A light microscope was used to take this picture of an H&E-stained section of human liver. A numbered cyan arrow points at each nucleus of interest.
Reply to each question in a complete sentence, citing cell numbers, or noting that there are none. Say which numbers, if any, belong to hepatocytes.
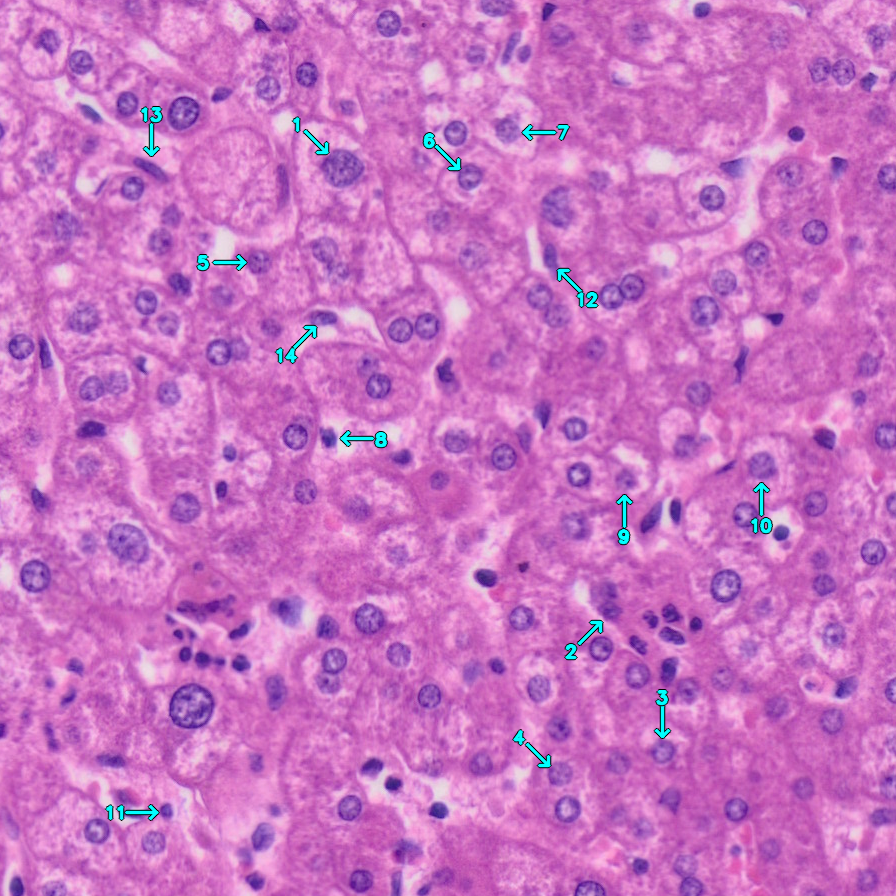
The cells with the numbers 1, 3, 4, 5, 6, 7, 9 and 10 are hepatocytes.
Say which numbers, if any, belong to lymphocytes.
The cells with numbers 8 and 11 are lymphocytes by type.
